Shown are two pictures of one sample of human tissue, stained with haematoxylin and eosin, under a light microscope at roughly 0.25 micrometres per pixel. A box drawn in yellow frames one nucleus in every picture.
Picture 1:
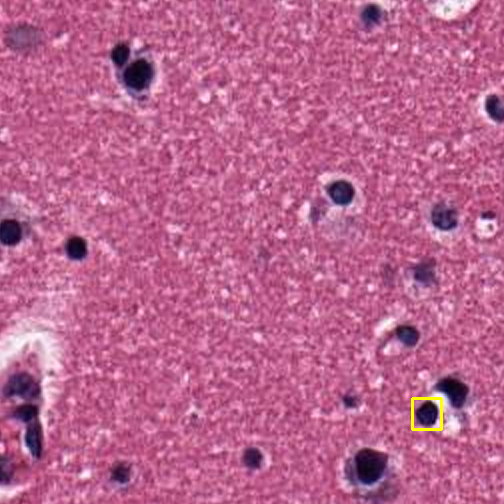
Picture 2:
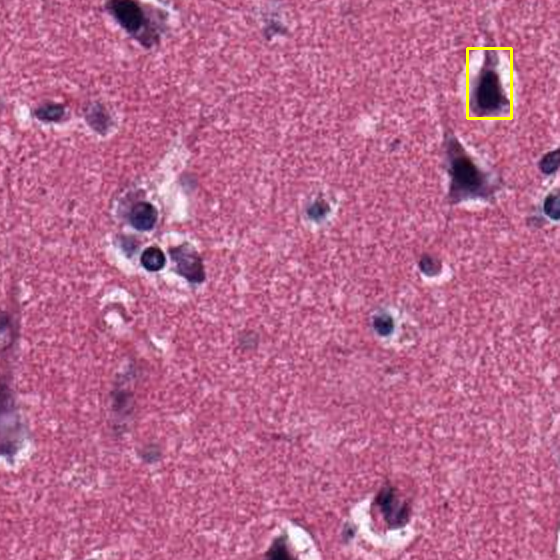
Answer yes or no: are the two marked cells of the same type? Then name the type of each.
No, the first is an oligodendrocyte and the second a neuron.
